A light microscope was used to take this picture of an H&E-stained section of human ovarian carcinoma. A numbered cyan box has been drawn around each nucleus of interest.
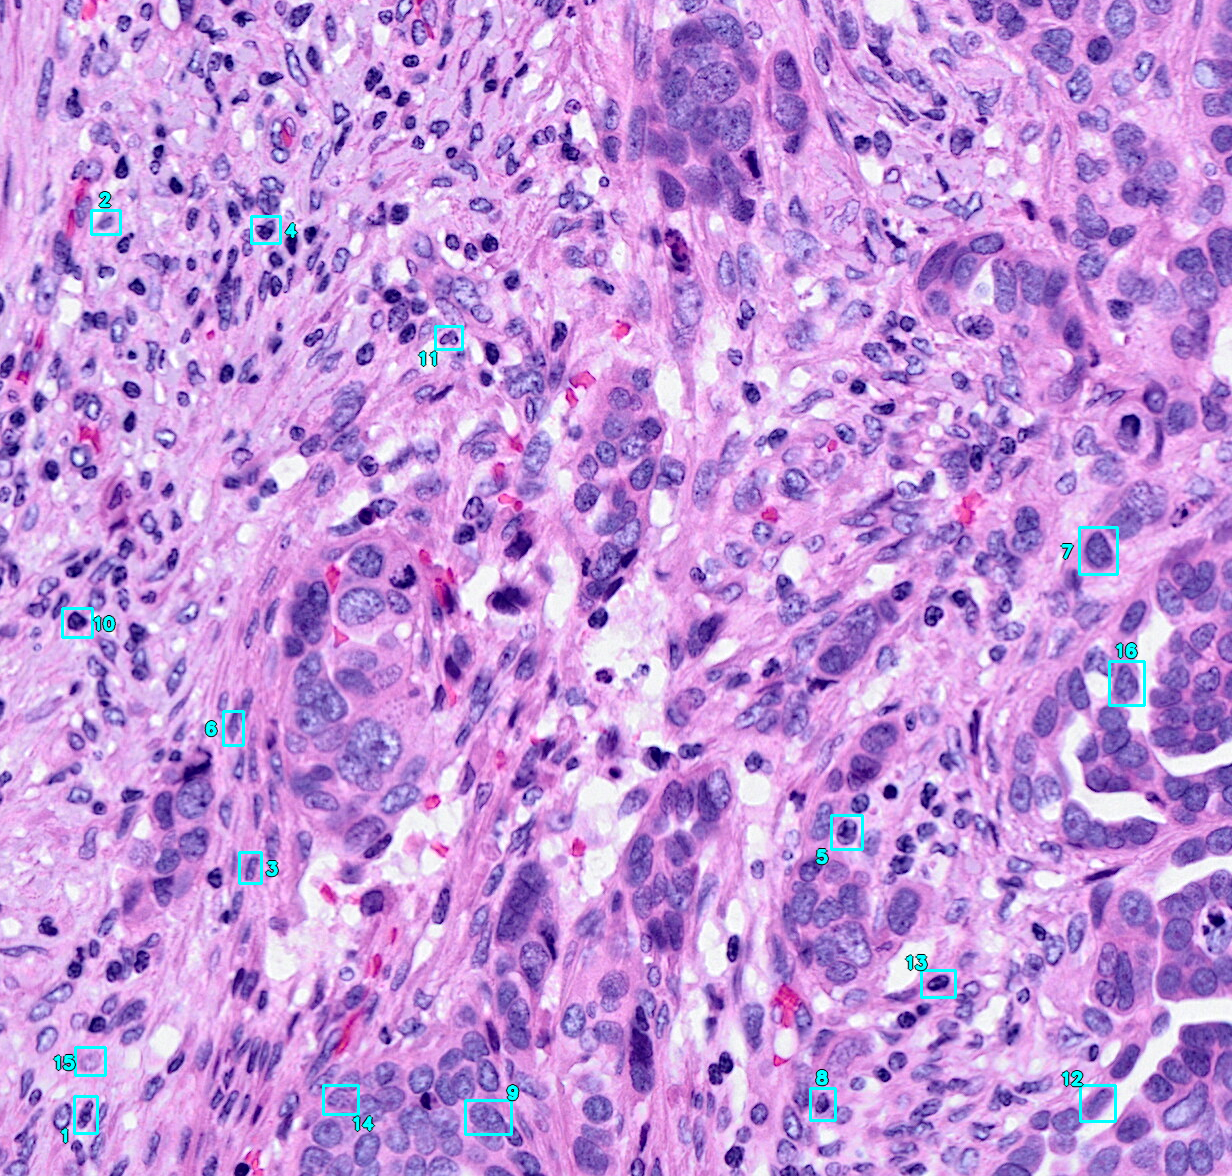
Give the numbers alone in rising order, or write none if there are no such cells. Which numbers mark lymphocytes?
1, 2, 4, 5, 8, 10, 11, 13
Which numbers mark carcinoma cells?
7, 9, 12, 14, 16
